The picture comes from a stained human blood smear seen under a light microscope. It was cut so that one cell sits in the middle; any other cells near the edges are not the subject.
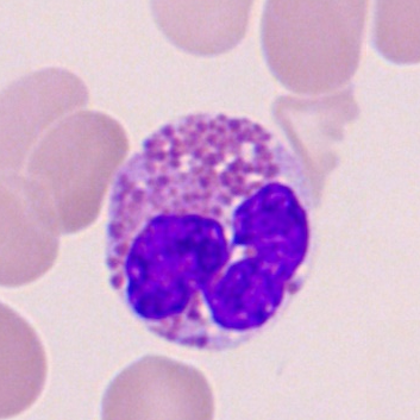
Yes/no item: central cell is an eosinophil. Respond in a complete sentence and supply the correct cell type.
Yes, as for the central cell, it is an eosinophil.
